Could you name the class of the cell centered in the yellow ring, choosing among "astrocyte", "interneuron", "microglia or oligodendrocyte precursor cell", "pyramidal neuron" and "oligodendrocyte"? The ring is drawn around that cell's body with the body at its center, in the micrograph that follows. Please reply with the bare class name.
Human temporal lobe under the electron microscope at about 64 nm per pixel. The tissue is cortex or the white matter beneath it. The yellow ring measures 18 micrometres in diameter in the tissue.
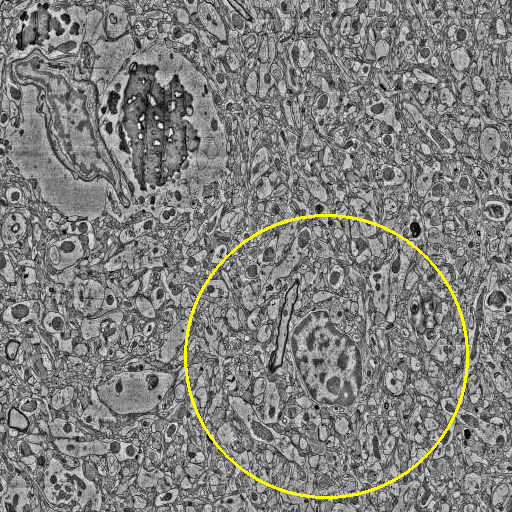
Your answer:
microglia or oligodendrocyte precursor cell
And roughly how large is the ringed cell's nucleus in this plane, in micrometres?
In this plane, about 6 micrometres in length and 4 in width.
